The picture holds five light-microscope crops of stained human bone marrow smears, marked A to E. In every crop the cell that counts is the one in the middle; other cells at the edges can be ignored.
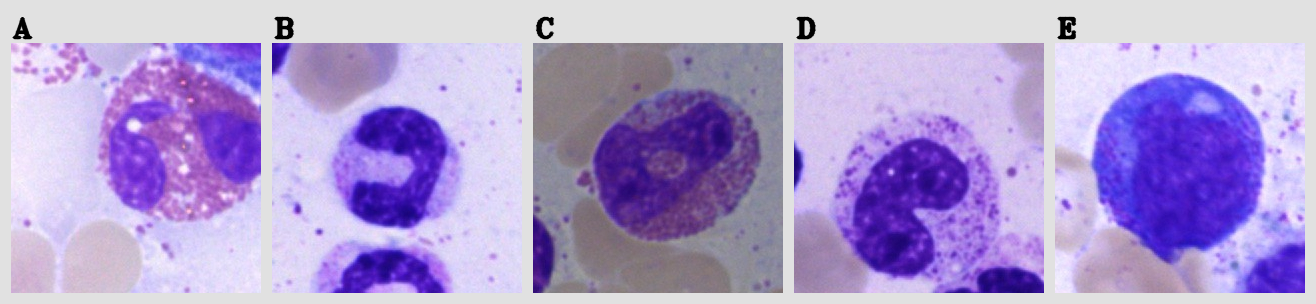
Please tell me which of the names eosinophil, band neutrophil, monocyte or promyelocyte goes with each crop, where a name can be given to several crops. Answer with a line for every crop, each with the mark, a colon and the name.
A: eosinophil
B: band neutrophil
C: eosinophil
D: band neutrophil
E: promyelocyte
